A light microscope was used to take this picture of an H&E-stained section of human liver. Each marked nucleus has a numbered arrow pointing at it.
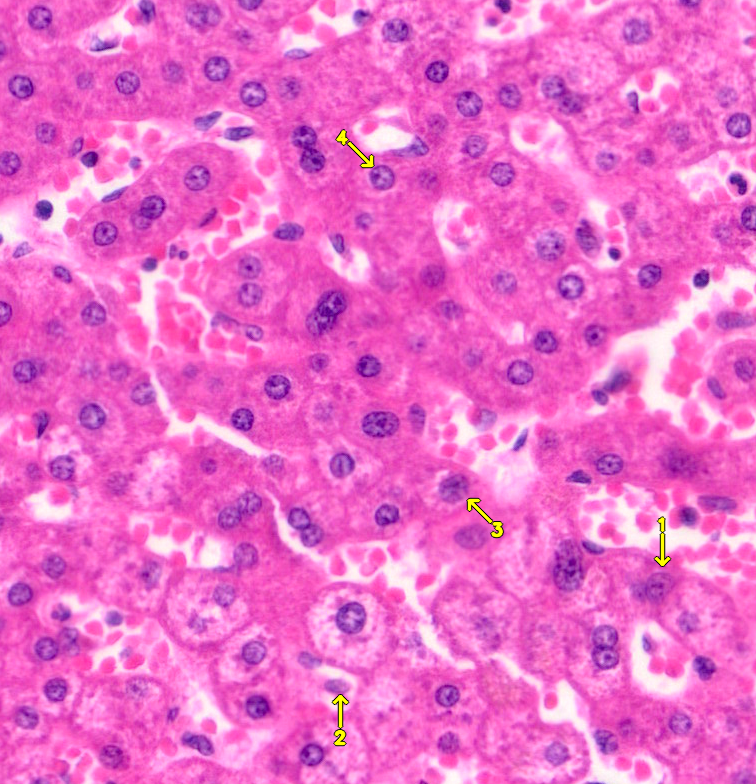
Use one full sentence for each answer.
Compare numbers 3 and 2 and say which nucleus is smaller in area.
Nucleus 2 covers less area, with nucleus 3 about 2.5 times as large.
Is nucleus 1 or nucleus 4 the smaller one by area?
Nucleus 4 covers less area, with nucleus 1 about 1.5 times as large.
